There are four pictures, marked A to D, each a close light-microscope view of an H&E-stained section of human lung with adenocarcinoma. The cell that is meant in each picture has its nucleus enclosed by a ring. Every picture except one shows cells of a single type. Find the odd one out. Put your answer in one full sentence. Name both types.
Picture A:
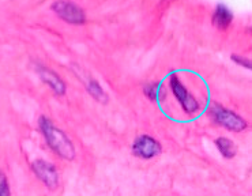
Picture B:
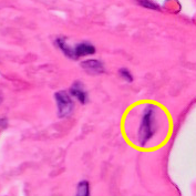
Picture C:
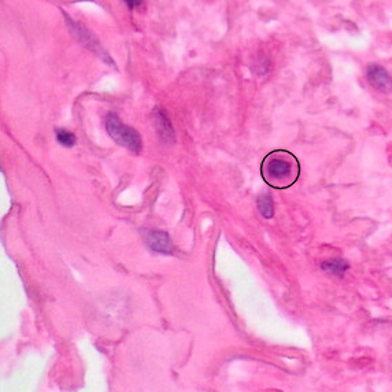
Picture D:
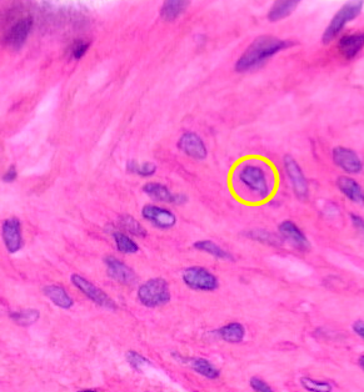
The others show “smooth muscle cells or pericytes”, but picture B shows a fibroblast.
